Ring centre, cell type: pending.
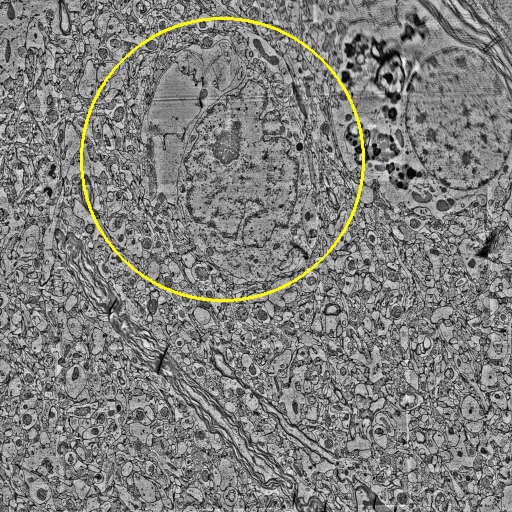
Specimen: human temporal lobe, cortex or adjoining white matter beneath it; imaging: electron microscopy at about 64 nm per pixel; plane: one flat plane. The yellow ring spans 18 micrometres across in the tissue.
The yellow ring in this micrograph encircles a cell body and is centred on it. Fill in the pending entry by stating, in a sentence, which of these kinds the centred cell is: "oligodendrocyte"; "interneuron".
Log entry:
The centred cell is recorded as an interneuron.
